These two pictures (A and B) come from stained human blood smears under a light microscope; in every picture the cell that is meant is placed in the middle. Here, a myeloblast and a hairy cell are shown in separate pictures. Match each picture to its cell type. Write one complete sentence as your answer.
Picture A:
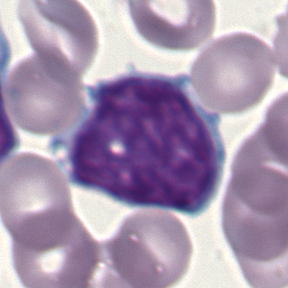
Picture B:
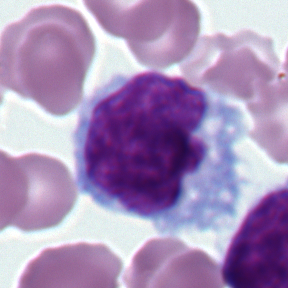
In picture A the cell is a myeloblast; in picture B, a hairy cell.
